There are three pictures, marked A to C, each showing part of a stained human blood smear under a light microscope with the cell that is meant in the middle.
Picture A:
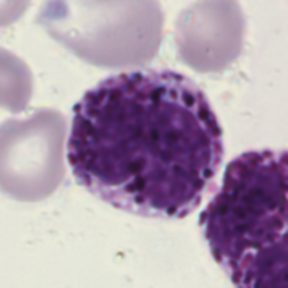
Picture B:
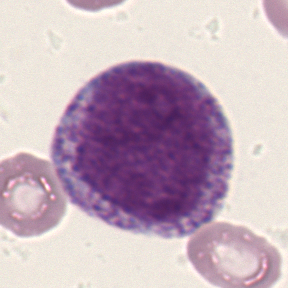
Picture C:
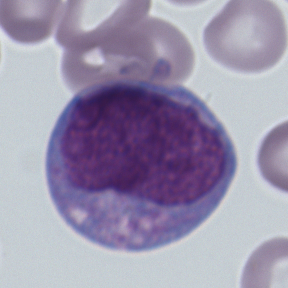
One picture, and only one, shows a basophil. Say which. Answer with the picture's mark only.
A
